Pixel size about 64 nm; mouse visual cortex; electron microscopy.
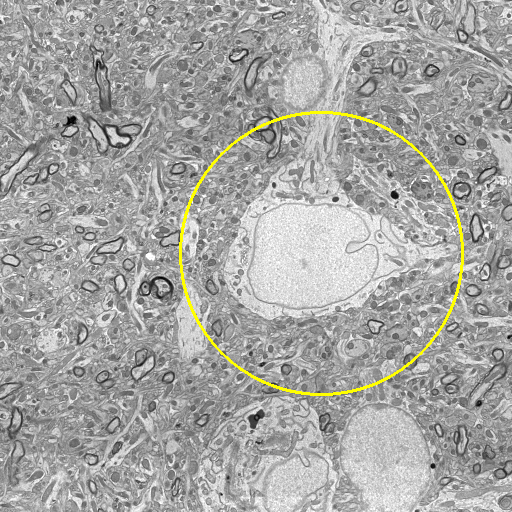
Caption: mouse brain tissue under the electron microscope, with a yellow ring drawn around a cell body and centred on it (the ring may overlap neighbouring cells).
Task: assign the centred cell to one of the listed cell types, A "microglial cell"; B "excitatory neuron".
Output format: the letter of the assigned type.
B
